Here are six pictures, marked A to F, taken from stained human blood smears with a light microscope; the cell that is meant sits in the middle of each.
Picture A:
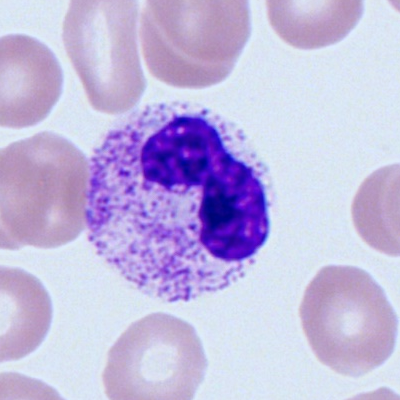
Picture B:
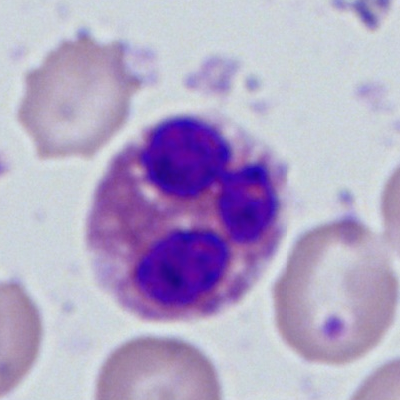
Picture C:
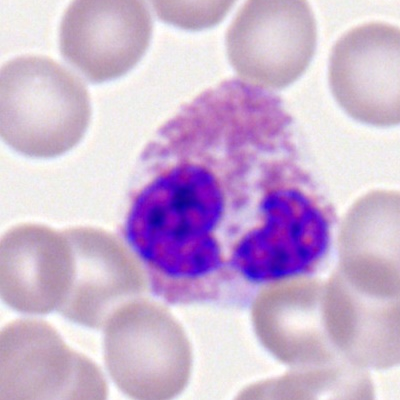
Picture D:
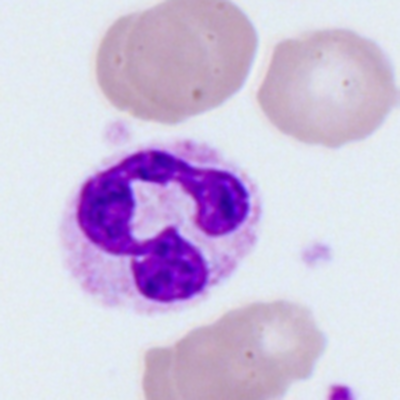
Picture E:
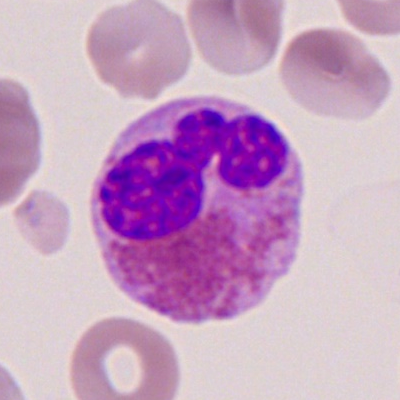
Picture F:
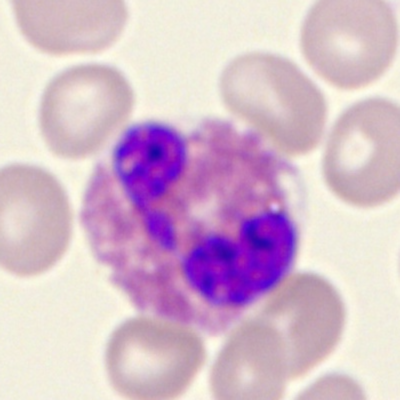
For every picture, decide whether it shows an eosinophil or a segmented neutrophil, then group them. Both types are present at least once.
A: segmented neutrophil
B: eosinophil
C: eosinophil
D: segmented neutrophil
E: eosinophil
F: eosinophil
